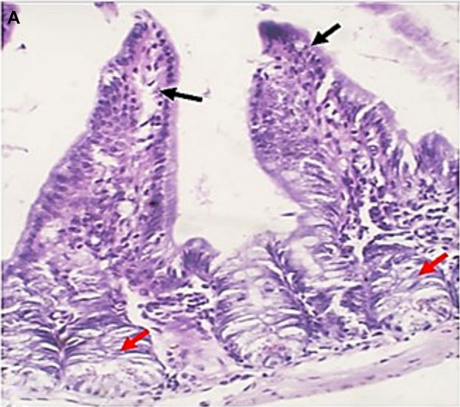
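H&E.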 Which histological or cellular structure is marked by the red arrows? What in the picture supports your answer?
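Uniform crypts and glands. Tubular epithelial profiles lie at the base of the mucosa, beneath the villi. They contain pale, vacuolated goblet-like cells.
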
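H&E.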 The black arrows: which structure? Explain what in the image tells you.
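Regular villi. Tall finger-like projections rise into the lumen. They are covered by a single layer of columnar epithelium with a core of connective tissue.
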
